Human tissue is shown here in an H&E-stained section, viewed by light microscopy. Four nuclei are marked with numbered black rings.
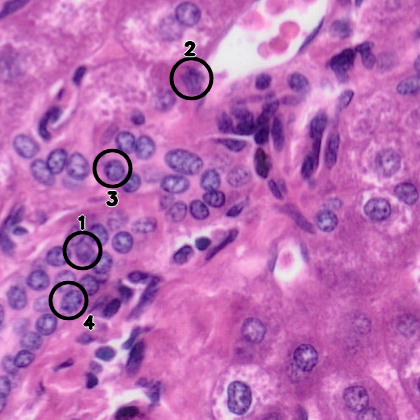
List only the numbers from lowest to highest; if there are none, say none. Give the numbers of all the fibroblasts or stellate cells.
2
